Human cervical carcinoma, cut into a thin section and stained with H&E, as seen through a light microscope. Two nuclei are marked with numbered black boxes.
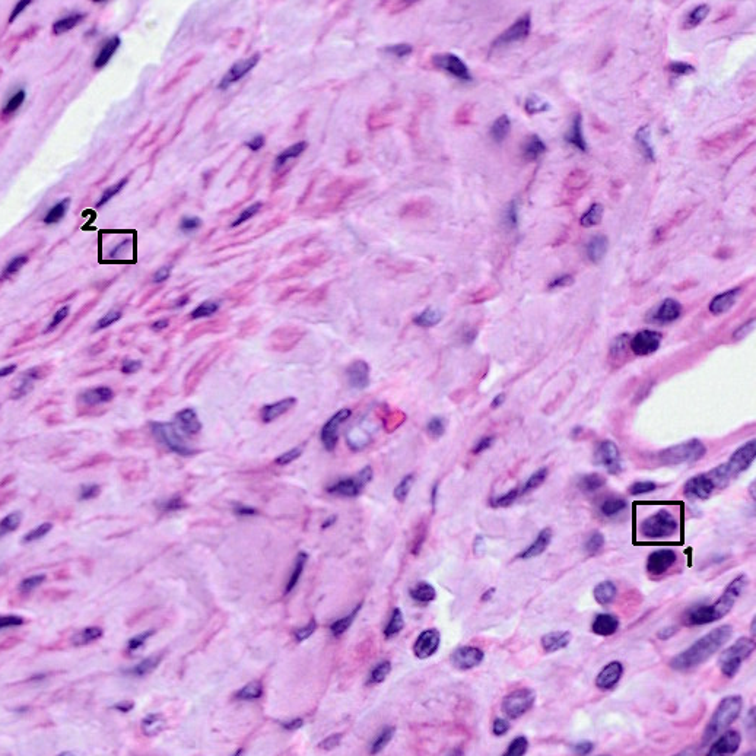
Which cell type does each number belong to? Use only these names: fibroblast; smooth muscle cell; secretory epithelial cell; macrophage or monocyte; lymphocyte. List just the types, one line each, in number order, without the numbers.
lymphocyte
smooth muscle cell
